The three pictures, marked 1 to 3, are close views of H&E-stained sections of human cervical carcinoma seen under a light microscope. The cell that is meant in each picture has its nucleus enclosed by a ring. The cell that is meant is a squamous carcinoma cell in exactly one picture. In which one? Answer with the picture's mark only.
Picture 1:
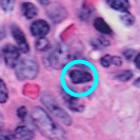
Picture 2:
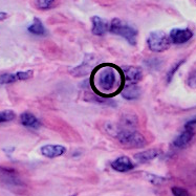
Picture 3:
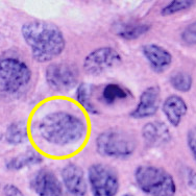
3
